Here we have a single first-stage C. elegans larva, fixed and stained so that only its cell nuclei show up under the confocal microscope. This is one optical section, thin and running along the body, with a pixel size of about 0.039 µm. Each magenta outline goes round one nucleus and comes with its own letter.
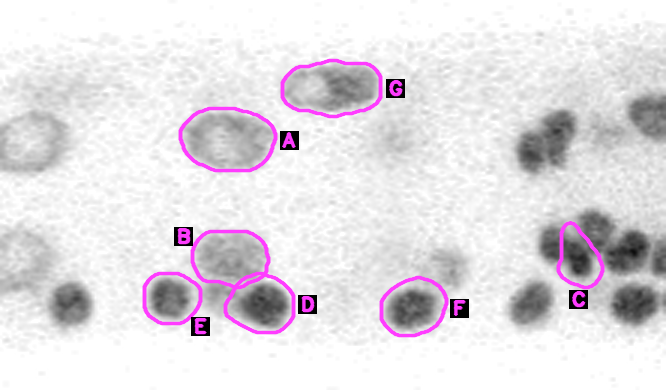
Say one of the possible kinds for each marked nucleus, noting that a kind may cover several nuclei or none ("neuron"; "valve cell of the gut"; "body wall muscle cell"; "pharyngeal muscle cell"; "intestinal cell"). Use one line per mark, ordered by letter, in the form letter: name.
A: intestinal cell
B: intestinal cell
C: valve cell of the gut
D: neuron
E: neuron
F: neuron
G: body wall muscle cell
